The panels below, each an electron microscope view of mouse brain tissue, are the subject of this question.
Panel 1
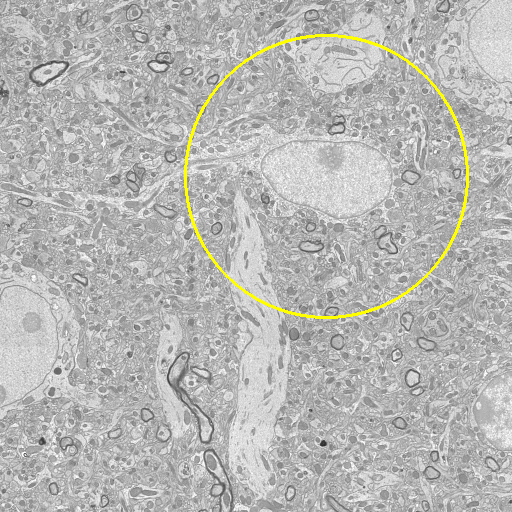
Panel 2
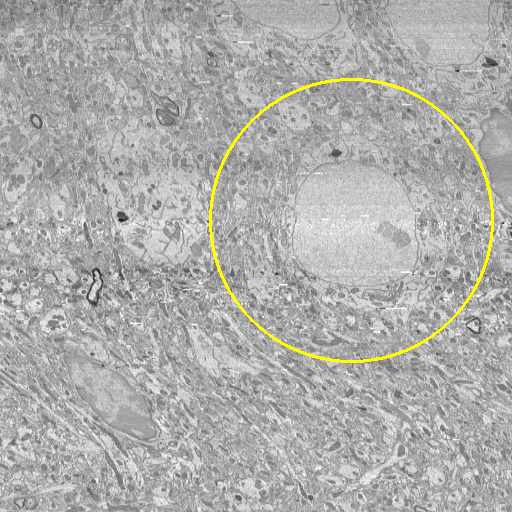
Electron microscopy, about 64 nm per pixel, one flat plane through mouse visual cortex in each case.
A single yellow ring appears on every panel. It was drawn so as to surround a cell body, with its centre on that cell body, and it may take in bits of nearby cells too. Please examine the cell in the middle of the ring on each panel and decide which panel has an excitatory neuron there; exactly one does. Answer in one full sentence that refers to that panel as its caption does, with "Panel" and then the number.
Panel 2 is where the ring's central cell answers the question.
